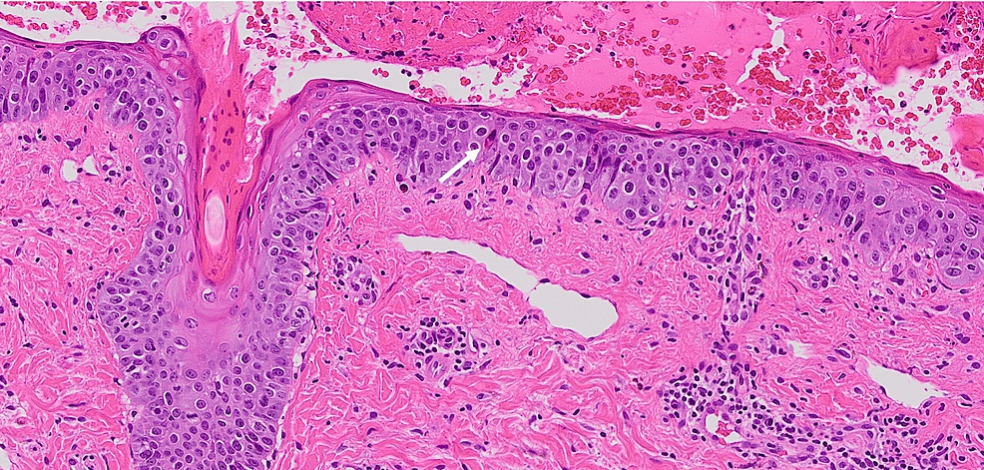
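This is skin, with a stratified squamous epidermis of purple keratinocytes lying over pink collagenous dermis. At the left a hair follicle runs down from the surface, its opening filled with a pink keratin plug. Within the epidermis many keratinocytes show round nuclei, some with a pale halo around them, and scattered cells stand out singly among their neighbours. In the dermis below, small round cells with dark nuclei and little cytoplasm gather in clusters around small vessels, and a few reach toward the epidermis. Above the surface lies pink material with many red blood cells.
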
